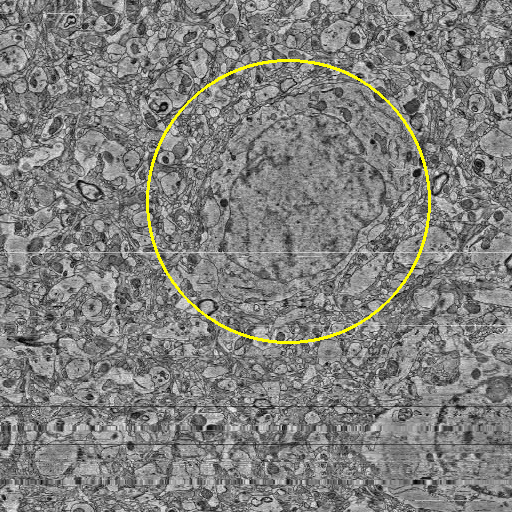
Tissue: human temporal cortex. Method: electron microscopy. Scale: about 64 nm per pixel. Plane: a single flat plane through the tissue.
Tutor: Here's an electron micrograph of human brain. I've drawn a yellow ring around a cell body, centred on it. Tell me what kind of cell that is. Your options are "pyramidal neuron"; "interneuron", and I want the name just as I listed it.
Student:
interneuron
